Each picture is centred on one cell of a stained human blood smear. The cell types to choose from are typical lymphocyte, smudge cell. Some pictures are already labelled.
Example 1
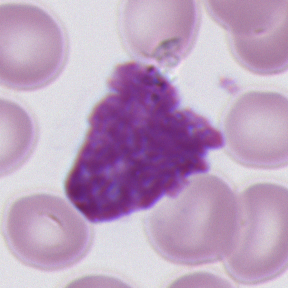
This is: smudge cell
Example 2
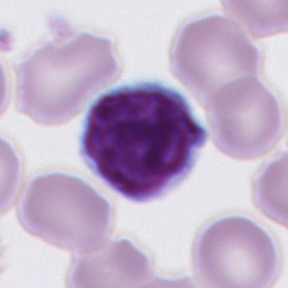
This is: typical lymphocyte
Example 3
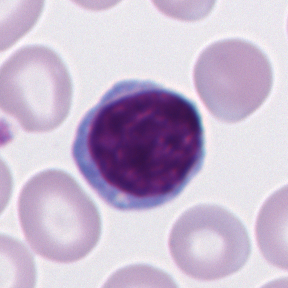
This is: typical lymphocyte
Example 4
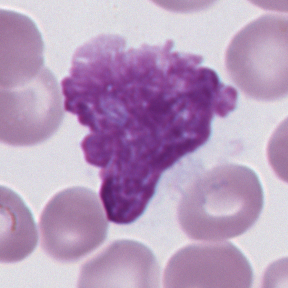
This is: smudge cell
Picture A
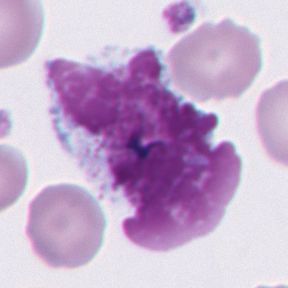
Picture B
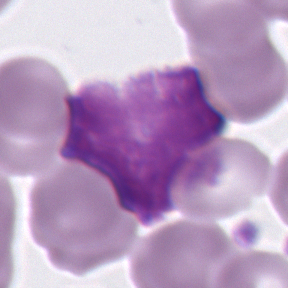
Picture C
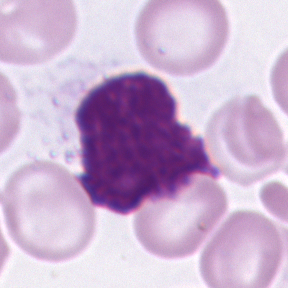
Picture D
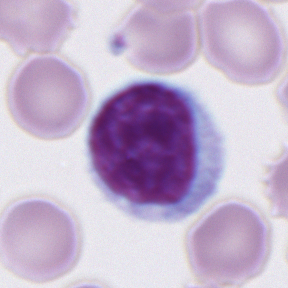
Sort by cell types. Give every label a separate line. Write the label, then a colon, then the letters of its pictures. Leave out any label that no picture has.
typical lymphocyte: D
smudge cell: A, B, C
